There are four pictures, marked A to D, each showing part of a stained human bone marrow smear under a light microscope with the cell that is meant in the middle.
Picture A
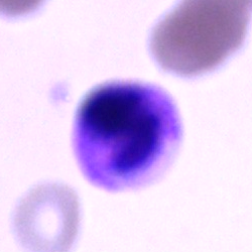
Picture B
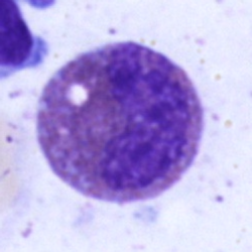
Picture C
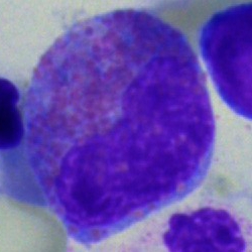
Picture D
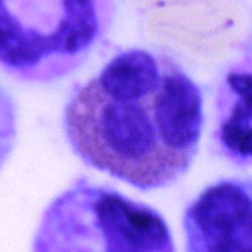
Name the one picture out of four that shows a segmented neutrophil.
A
